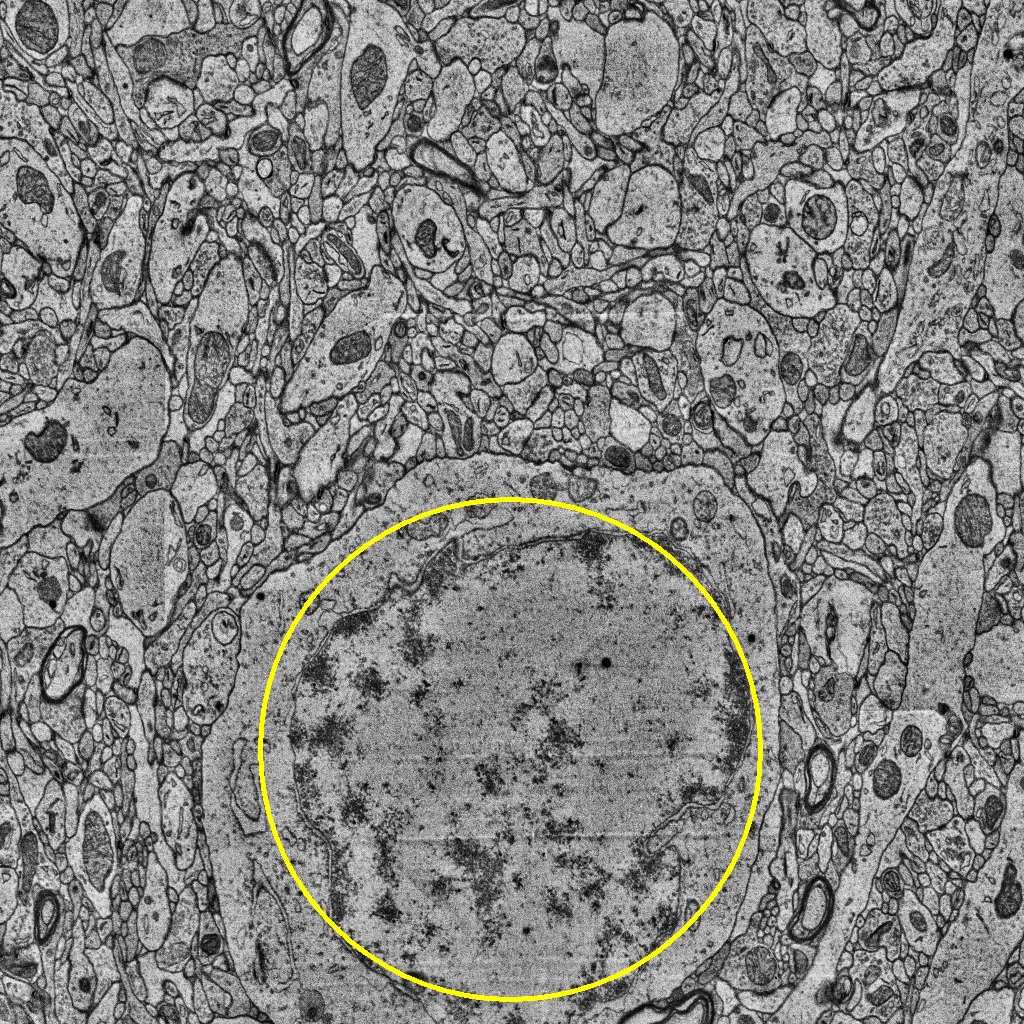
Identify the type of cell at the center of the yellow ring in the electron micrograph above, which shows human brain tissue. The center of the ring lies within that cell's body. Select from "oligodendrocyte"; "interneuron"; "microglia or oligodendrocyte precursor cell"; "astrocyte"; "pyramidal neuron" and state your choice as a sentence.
The center of the yellow ring lies in the body of an interneuron.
